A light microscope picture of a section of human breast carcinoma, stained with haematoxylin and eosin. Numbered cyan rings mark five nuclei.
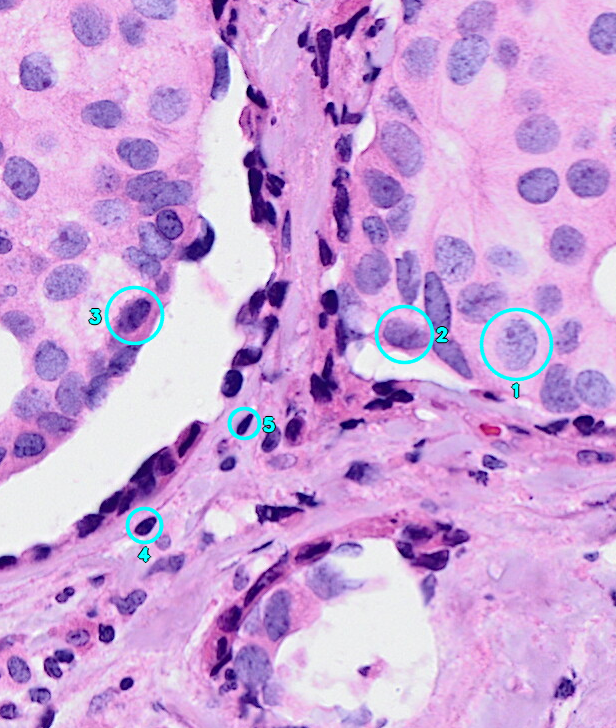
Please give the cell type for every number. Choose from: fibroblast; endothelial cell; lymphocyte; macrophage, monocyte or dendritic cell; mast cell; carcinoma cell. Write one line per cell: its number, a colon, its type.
1: carcinoma cell
2: carcinoma cell
3: carcinoma cell
4: lymphocyte
5: lymphocyte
